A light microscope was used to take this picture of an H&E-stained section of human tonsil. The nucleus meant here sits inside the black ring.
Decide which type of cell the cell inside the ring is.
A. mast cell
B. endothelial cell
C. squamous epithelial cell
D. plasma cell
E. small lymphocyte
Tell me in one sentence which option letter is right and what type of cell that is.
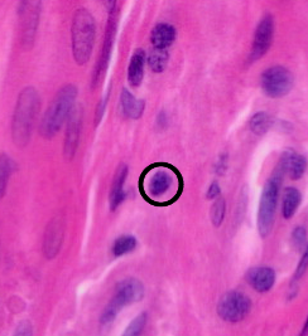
Here the cell inside the ring is a mast cell, which makes option A correct.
